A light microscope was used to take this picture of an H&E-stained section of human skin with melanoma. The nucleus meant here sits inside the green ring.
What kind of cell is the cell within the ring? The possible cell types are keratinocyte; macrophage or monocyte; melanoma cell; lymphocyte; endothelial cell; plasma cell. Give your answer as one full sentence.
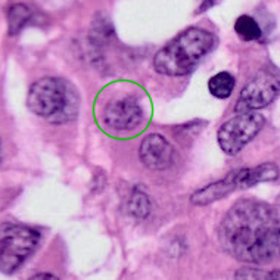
Students should answer that the cell within the ring is a melanoma cell.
